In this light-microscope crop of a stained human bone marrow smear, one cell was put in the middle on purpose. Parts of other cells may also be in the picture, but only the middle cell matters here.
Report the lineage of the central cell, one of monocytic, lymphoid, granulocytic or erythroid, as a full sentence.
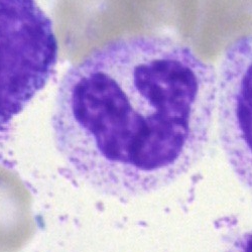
The centered cell here is of granulocytic lineage.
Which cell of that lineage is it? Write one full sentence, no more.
Classified as a band neutrophil is the cell in the middle of this crop.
